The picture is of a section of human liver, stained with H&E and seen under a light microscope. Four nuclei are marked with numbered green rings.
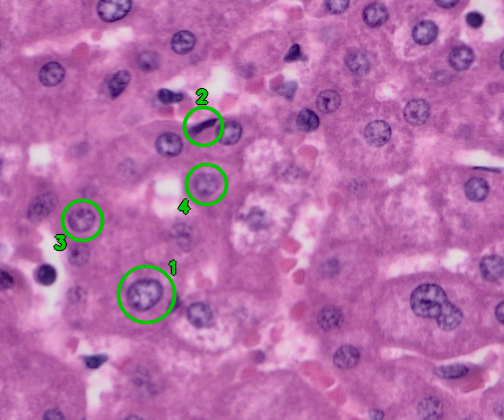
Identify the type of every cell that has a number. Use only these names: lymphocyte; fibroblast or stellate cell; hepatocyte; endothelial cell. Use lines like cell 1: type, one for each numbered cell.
cell 1: hepatocyte
cell 2: fibroblast or stellate cell
cell 3: hepatocyte
cell 4: hepatocyte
